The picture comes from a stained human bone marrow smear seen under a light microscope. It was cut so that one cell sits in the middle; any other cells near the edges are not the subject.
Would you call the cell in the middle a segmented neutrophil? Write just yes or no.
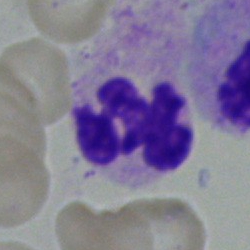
yes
